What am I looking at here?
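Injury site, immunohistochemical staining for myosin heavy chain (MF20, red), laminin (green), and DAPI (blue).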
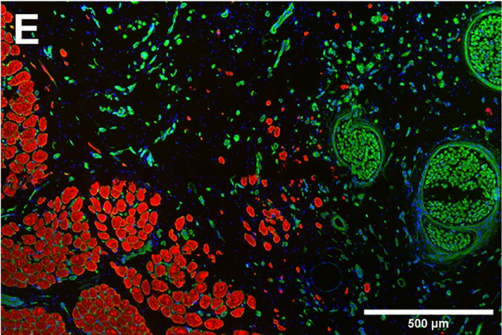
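Groups of large, closely packed red fibers lie at the lower left. Smaller, more scattered red profiles extend from them into the centre of the field. The upper and central field is dark and dotted with small blue nuclei and many small green profiles. At the right, several large round bundles, each packed with small green-outlined profiles and wrapped in a green sheath, are visible.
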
